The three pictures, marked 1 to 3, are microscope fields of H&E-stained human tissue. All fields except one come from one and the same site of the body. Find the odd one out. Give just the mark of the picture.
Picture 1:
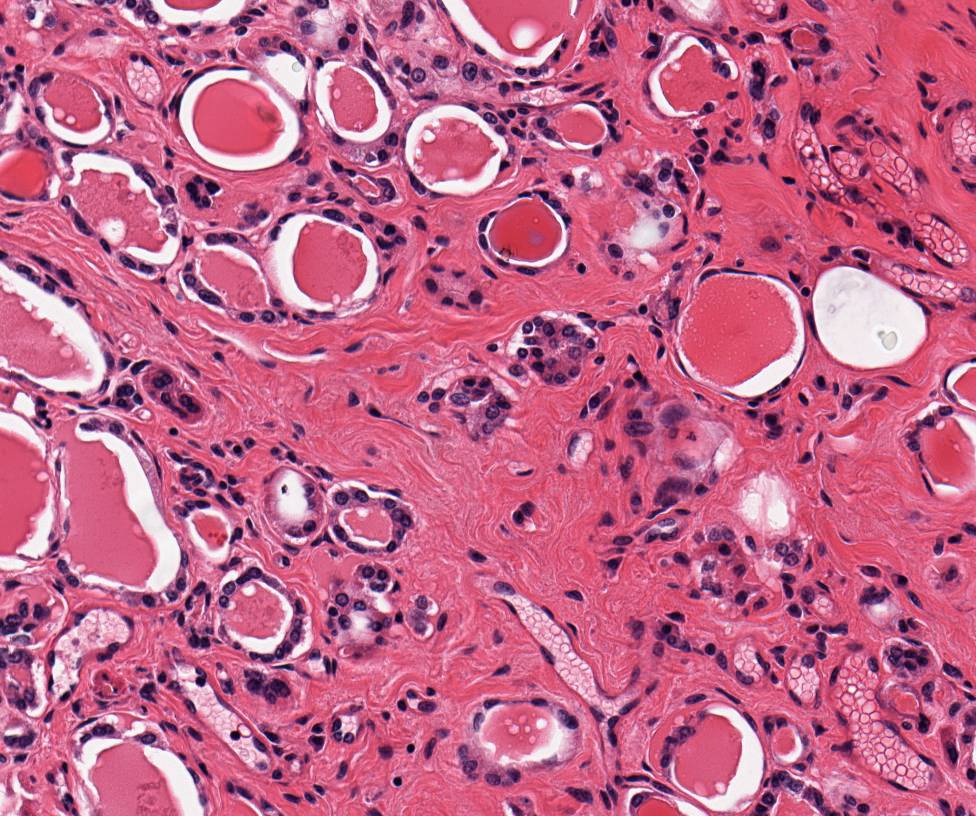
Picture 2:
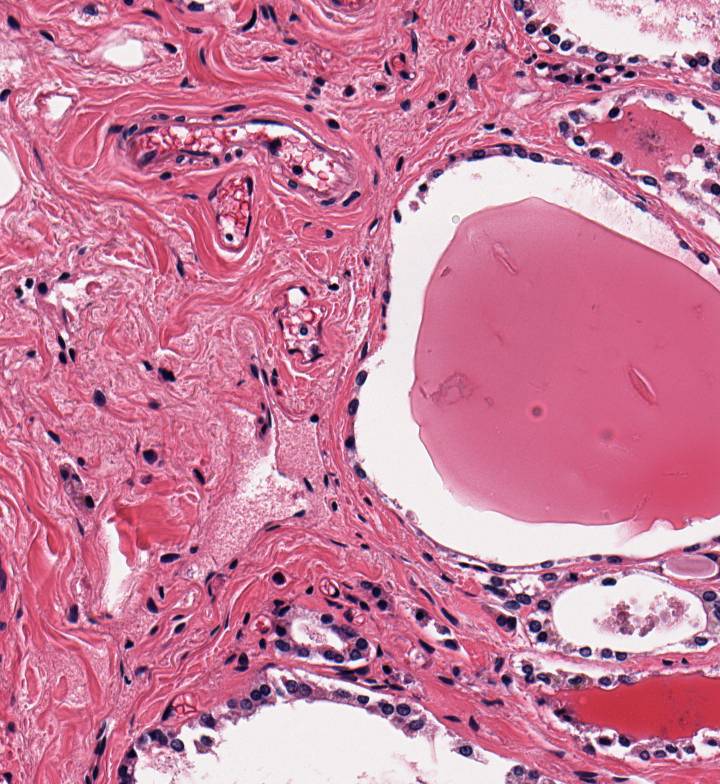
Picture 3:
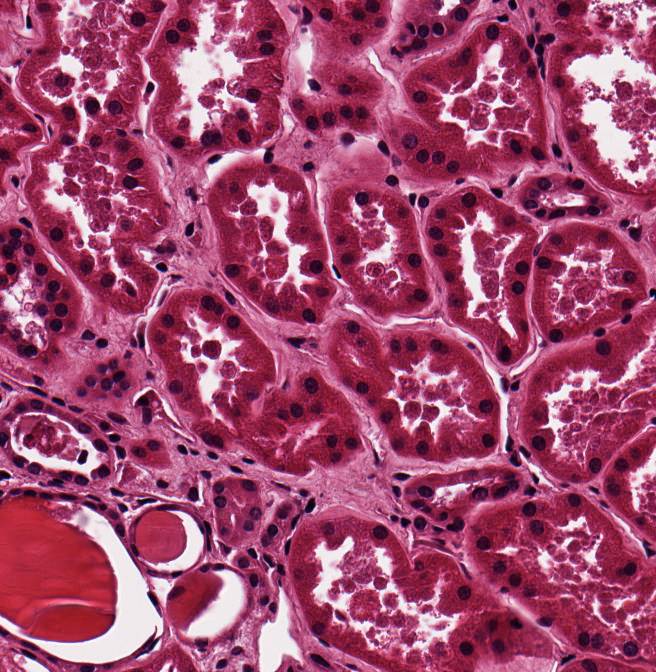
3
